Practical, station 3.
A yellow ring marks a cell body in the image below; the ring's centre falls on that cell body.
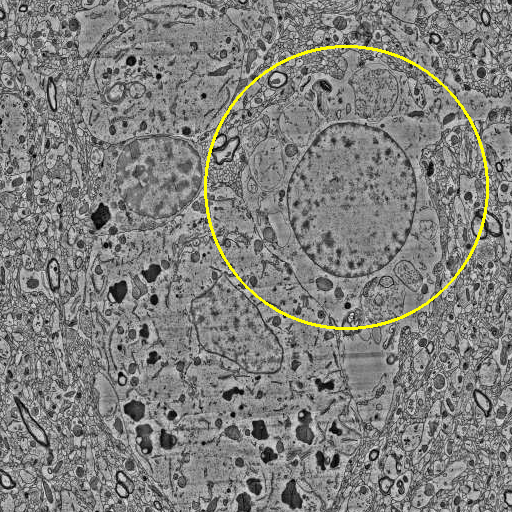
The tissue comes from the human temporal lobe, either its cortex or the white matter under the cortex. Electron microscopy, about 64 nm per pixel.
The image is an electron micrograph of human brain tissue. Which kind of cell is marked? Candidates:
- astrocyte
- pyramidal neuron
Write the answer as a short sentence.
The marked cell body is that of an astrocyte.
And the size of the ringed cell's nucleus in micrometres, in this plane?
The nucleus measures about 10 by 8 micrometres in this plane.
